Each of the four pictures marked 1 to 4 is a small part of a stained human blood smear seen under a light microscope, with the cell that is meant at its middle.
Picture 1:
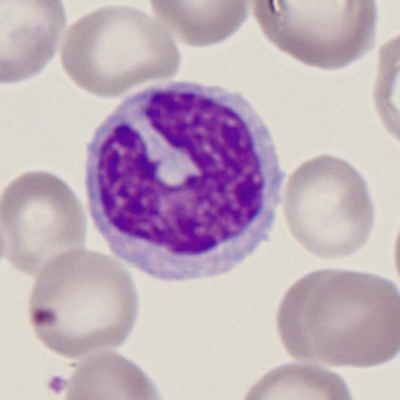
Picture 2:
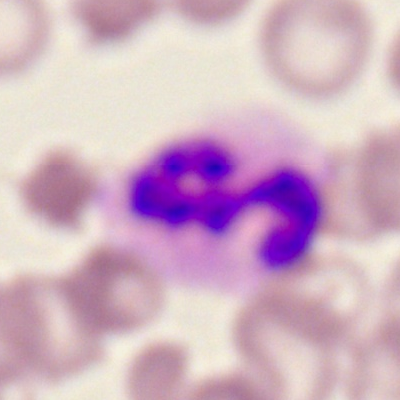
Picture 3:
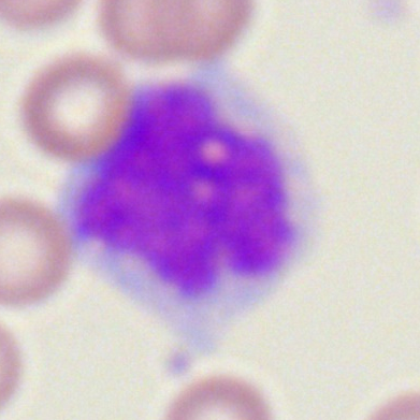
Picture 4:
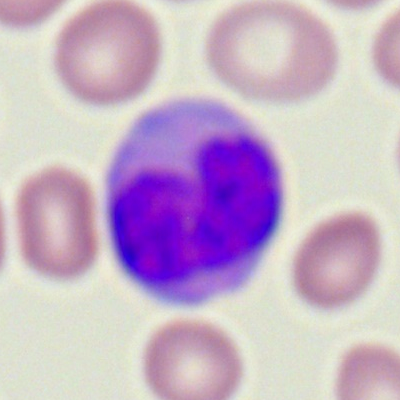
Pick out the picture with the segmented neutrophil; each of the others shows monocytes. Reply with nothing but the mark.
2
